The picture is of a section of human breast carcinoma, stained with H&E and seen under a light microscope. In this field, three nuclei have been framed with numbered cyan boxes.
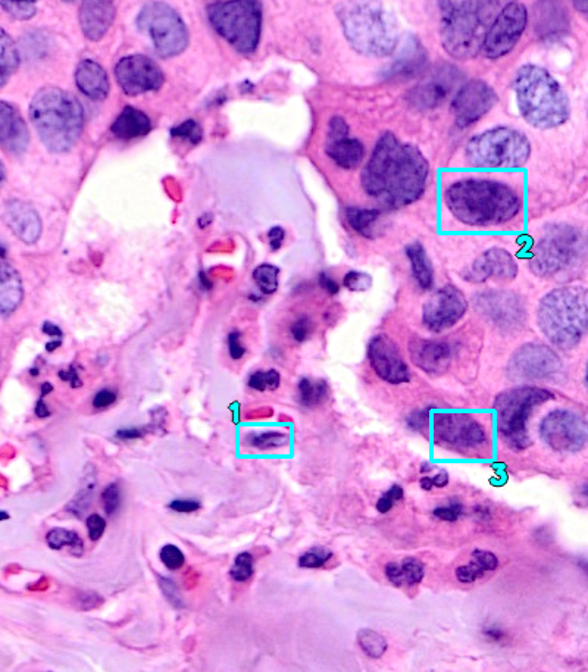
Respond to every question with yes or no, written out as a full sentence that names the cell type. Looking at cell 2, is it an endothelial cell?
No, the cell with number 2 is not an endothelial cell but a carcinoma cell.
